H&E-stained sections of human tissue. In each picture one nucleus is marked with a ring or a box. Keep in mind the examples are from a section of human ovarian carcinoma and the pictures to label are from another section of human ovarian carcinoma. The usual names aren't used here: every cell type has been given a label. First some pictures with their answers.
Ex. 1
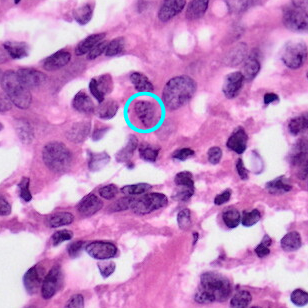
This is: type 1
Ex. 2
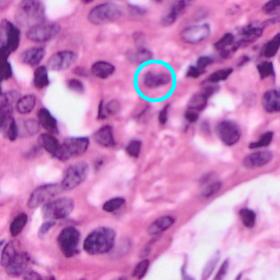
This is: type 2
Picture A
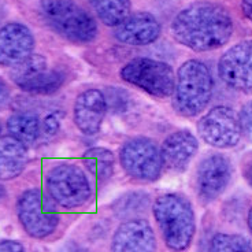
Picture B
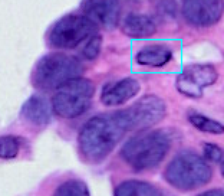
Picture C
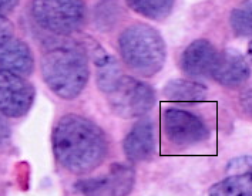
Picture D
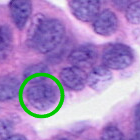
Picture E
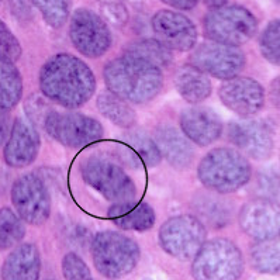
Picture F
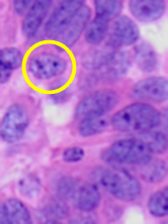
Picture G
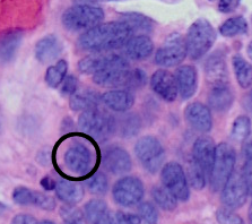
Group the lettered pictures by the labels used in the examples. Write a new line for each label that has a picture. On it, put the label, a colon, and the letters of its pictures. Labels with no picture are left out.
type 1: A, C, D, E, G
type 2: B, F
